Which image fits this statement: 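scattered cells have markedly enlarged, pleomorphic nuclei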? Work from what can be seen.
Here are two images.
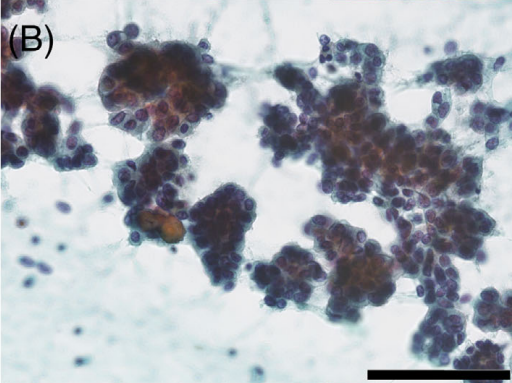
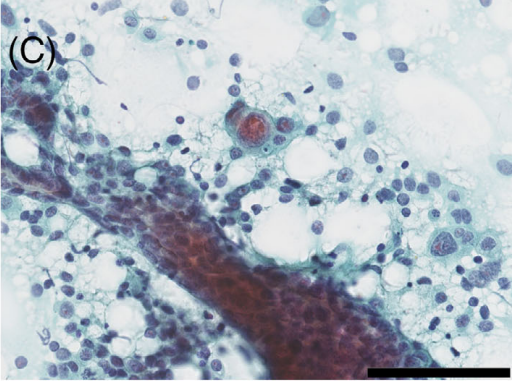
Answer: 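Second image: a few cells stand out with much larger, irregular nuclei than their neighbours. First image: nuclei in the clusters are of fairly similar size. The answer: the second image.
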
